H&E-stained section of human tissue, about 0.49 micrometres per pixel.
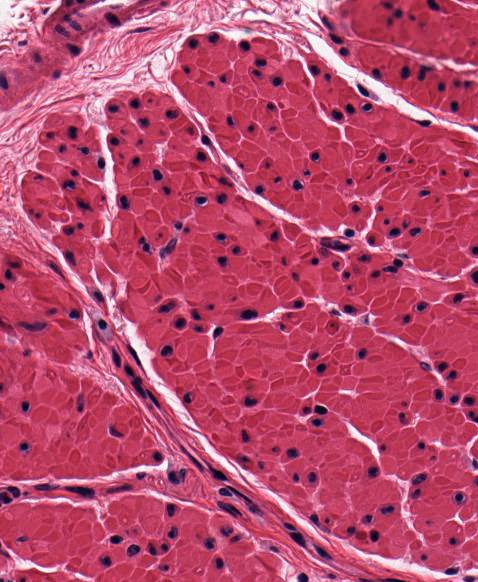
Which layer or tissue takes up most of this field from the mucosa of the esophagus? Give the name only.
smooth muscle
